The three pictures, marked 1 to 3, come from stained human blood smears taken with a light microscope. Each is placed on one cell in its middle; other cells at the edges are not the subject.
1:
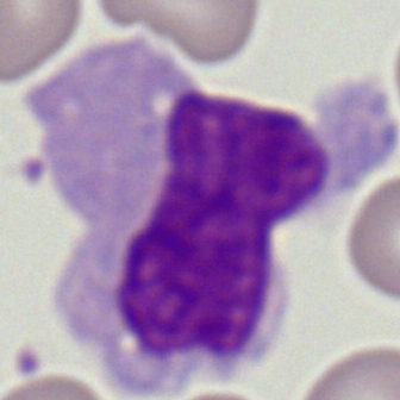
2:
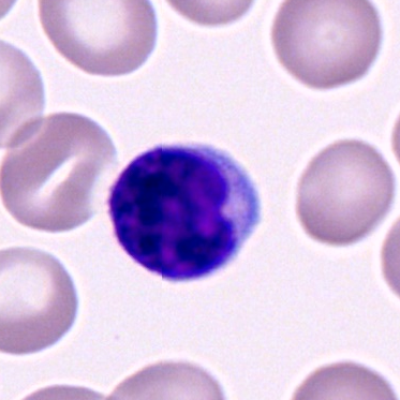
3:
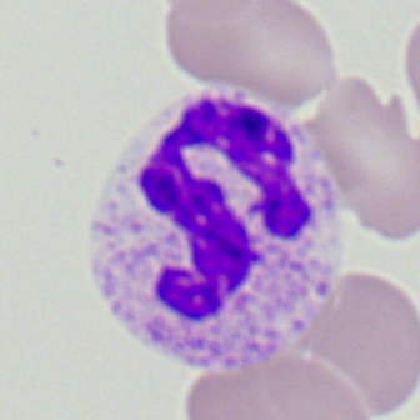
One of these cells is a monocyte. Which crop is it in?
1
